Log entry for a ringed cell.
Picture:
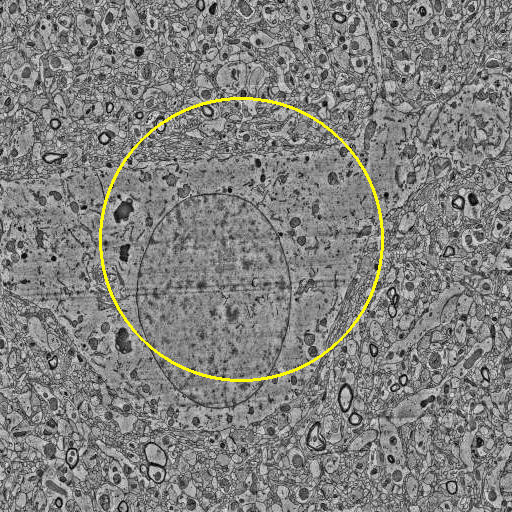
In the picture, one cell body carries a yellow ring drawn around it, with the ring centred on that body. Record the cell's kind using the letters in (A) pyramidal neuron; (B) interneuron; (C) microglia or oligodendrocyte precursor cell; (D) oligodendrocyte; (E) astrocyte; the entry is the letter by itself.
A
